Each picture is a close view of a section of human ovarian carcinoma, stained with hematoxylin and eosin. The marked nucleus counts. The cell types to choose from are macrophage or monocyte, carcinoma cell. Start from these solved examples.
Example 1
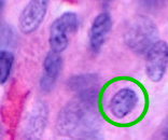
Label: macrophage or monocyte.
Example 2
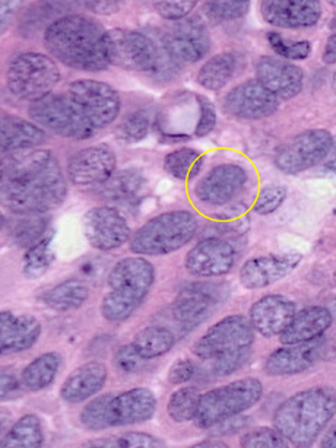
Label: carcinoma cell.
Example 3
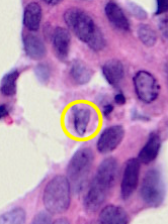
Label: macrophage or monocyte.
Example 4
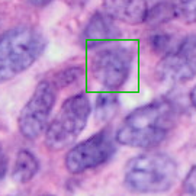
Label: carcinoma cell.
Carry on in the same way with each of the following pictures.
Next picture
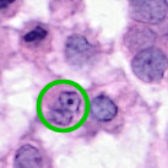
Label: macrophage or monocyte.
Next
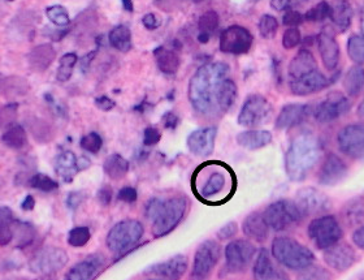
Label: macrophage or monocyte.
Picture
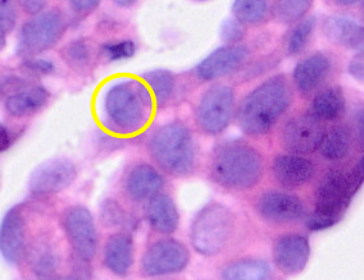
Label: carcinoma cell.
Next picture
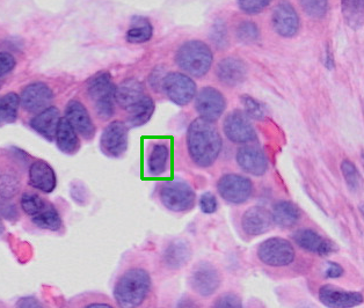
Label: macrophage or monocyte.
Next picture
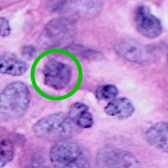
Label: macrophage or monocyte.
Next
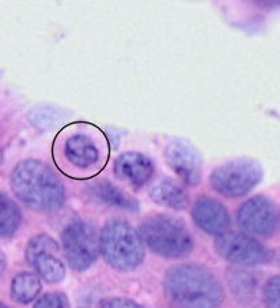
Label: macrophage or monocyte.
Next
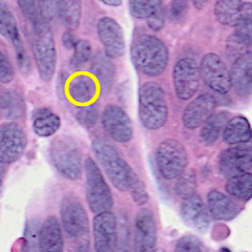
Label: carcinoma cell.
